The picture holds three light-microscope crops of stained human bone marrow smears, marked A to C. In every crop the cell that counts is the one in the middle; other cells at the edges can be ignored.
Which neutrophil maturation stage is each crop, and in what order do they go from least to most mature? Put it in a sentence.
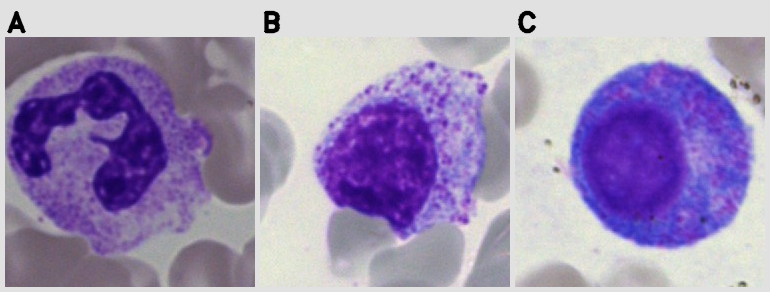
The ordering by maturity, least to greatest, is crop C (a promyelocyte), crop B (a myelocyte) and crop A (a segmented neutrophil).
